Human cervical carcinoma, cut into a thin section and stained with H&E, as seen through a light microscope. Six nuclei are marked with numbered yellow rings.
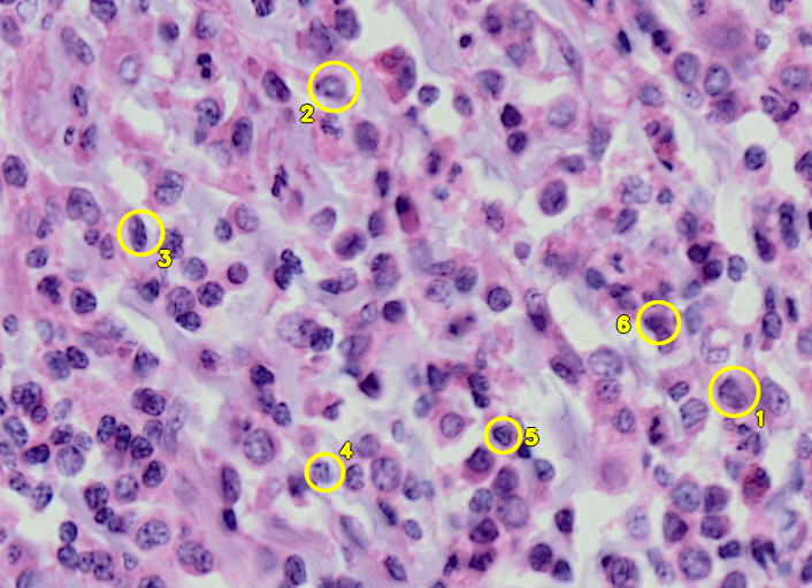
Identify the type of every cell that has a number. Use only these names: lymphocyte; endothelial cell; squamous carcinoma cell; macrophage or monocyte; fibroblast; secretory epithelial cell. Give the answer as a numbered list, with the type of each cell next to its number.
1. macrophage or monocyte
2. macrophage or monocyte
3. lymphocyte
4. lymphocyte
5. lymphocyte
6. lymphocyte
